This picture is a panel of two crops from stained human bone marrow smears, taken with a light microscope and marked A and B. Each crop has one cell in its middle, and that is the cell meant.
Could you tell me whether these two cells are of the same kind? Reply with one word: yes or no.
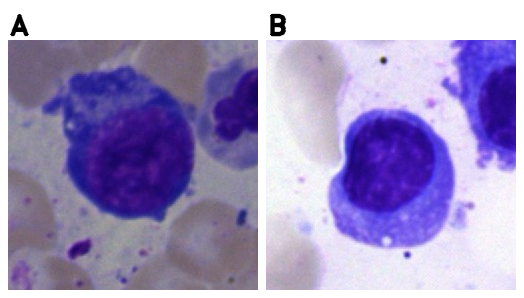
yes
